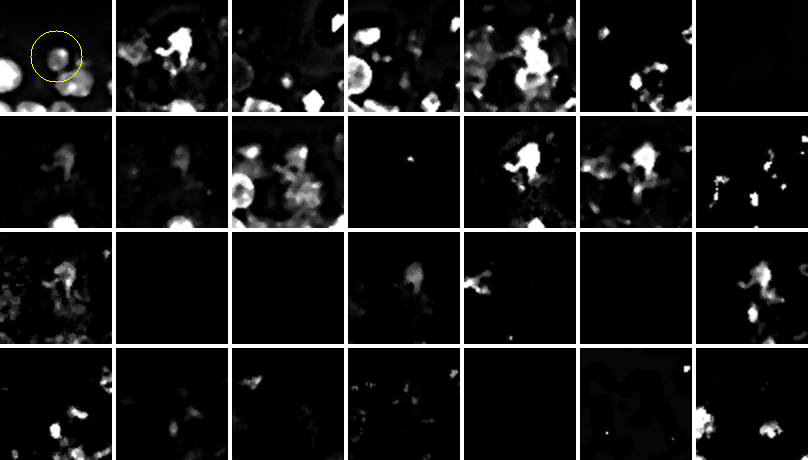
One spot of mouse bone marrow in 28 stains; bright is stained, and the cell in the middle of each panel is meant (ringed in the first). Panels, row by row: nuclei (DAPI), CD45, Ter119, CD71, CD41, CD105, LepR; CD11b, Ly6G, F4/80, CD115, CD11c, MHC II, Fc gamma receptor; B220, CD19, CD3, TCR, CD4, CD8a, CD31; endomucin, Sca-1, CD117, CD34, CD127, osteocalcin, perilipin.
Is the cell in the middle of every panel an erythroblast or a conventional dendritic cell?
It is a conventional dendritic cell.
